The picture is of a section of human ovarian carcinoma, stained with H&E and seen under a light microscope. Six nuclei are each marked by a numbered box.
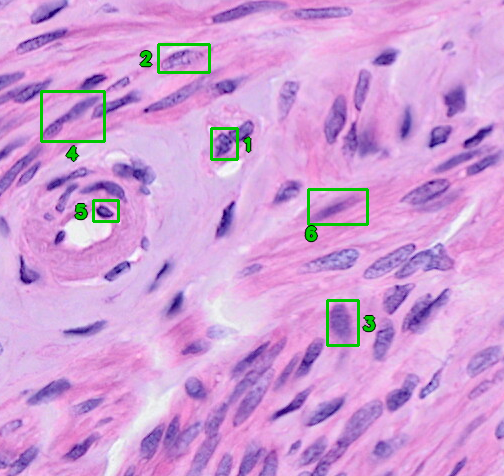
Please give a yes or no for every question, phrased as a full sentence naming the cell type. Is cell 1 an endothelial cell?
Yes, the cell distinguished by number 1 is an endothelial cell.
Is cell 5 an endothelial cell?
Yes, the cell that number 5 points to is an endothelial cell.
